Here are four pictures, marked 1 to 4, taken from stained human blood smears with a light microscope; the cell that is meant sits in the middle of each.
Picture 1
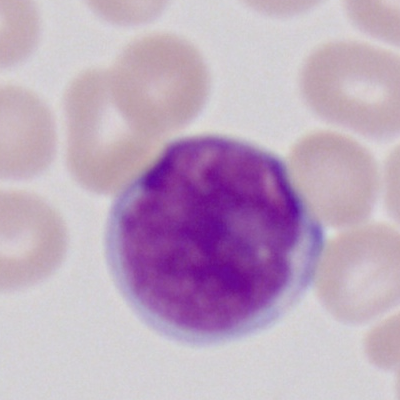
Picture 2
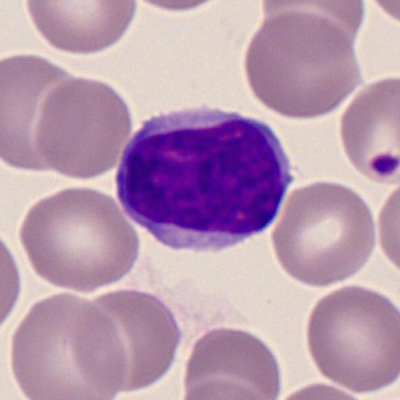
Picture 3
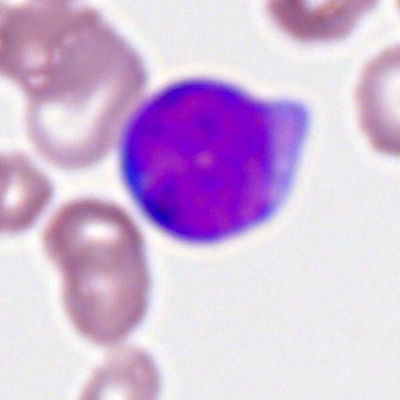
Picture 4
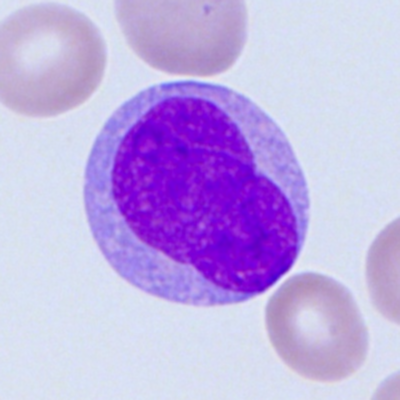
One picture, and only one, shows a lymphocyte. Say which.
2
